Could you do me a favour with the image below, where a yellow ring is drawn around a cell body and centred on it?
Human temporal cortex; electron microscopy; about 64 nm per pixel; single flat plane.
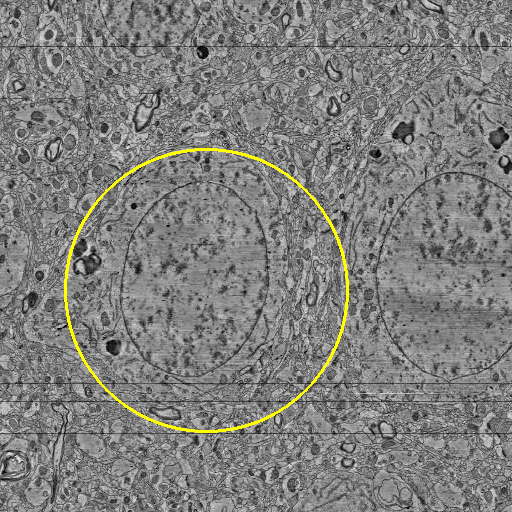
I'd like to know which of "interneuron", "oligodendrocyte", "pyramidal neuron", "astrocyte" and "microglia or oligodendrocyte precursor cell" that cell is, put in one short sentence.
The cell at the ring's centre is a pyramidal neuron.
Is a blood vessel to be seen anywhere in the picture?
No, none appears.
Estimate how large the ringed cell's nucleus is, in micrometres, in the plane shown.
Approximately 13 micrometres long and 9 micrometres wide, in this plane.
